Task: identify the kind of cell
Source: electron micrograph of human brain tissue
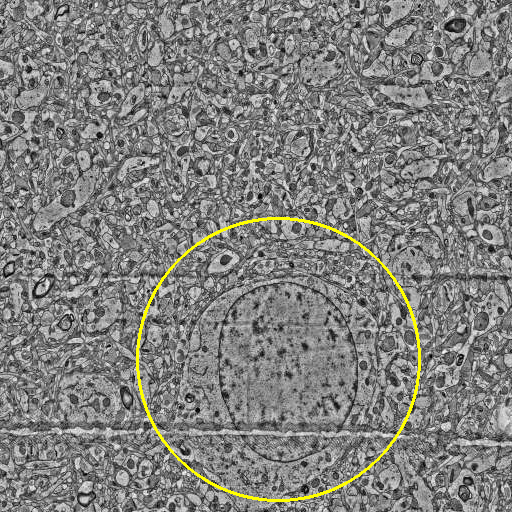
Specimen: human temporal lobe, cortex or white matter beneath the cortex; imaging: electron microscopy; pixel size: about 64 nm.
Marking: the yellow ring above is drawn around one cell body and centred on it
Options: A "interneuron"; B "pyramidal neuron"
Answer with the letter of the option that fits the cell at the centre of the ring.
B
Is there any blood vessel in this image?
No.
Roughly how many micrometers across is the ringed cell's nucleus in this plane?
Approximately 12 micrometres long and 9 micrometres wide, in this plane.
